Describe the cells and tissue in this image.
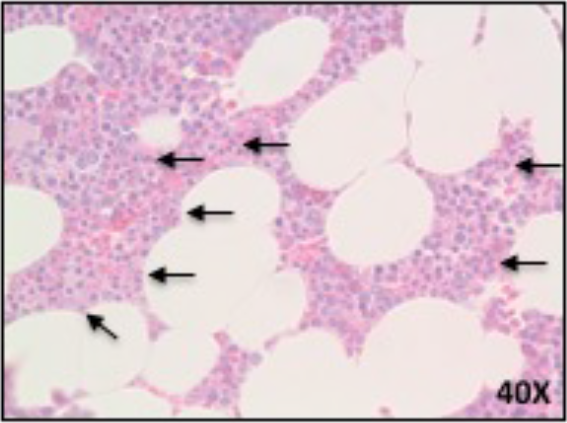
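This section of bone marrow shows densely packed hematopoietic cells filling the spaces between many large, round, clear fat cells. The fat spaces are empty and sharply outlined, giving the tissue a bubbly appearance. The cellular marrow between them stains pink to purple, with many small round nuclei and scattered bright pink red cells. Black arrows point to several small individual cells scattered through the cellular areas, often near the fat spaces.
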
